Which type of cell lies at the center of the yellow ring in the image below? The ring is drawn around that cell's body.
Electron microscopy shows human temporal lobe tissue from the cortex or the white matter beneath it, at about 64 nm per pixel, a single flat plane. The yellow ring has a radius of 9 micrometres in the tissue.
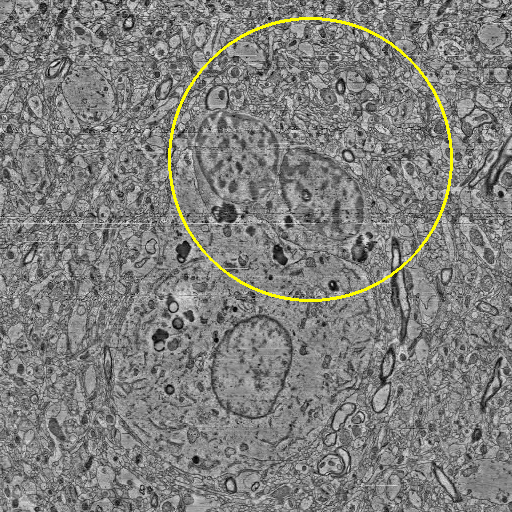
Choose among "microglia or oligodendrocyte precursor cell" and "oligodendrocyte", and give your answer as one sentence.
The cell body at the center belongs to an oligodendrocyte.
